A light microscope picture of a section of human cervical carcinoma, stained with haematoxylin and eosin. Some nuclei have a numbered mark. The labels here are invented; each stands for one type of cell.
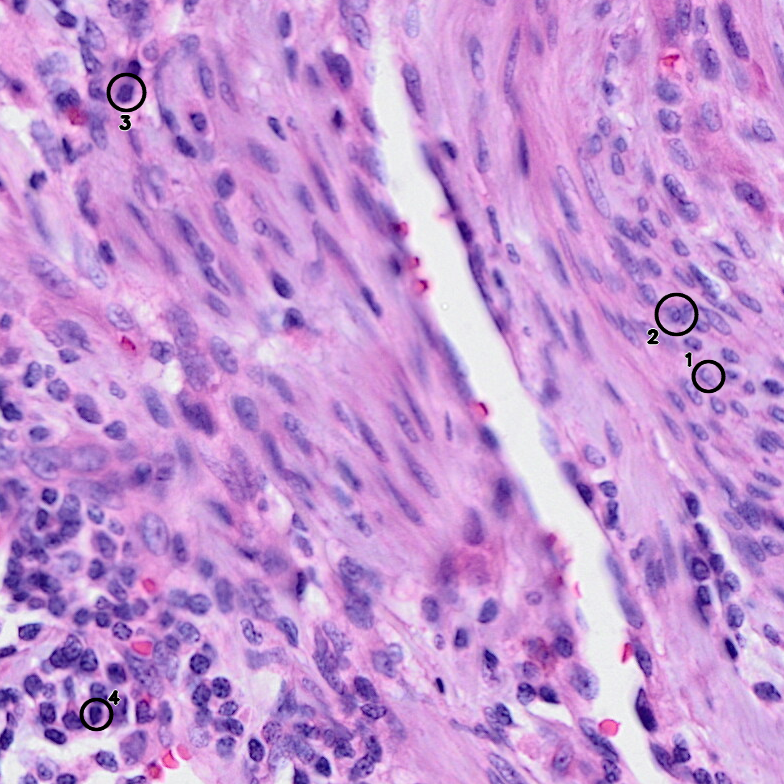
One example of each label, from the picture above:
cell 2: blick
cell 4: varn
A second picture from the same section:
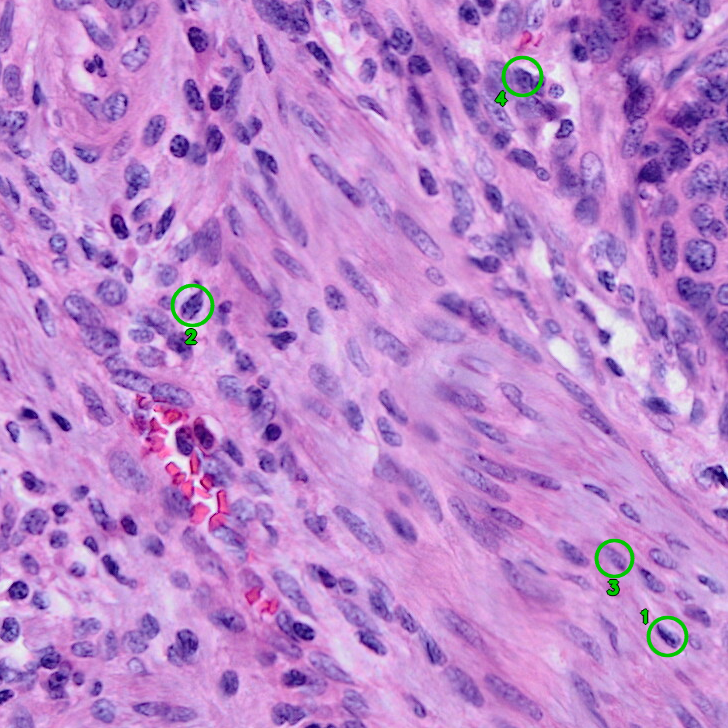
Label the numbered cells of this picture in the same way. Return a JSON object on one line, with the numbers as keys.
{"1": "varn", "2": "varn", "3": "blick", "4": "varn"}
